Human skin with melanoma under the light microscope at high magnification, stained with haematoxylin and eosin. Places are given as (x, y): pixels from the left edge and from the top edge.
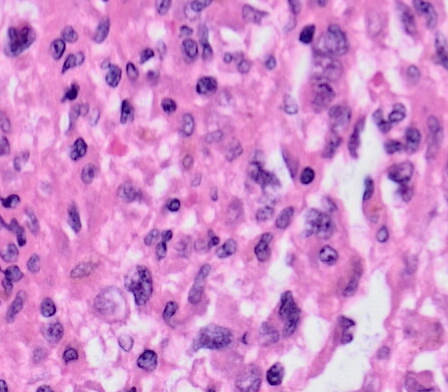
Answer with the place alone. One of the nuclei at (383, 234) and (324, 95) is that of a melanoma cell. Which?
(324, 95)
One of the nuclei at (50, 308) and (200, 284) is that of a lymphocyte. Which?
(50, 308)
